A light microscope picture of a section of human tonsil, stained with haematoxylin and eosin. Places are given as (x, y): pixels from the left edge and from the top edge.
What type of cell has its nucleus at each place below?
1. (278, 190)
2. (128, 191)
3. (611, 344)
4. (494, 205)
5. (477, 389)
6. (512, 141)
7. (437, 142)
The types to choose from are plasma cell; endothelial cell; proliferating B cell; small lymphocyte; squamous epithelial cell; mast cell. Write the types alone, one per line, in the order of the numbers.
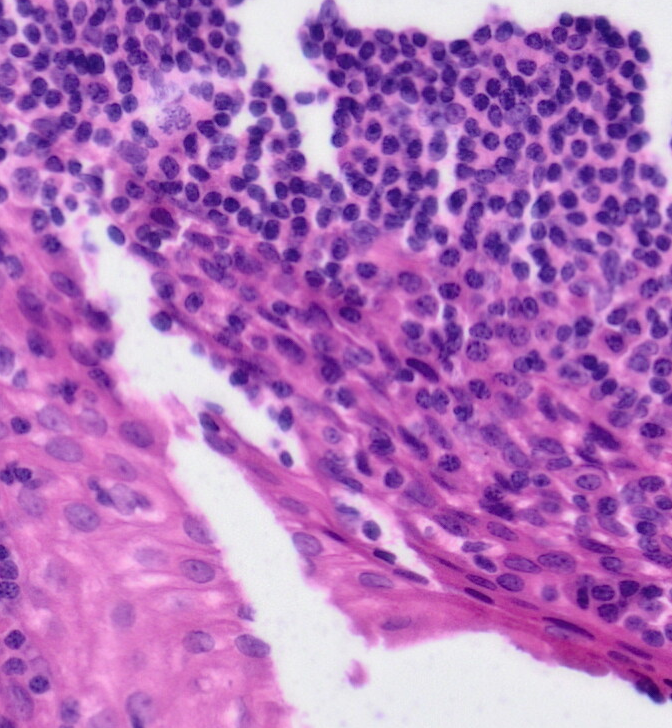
small lymphocyte
plasma cell
plasma cell
small lymphocyte
plasma cell
small lymphocyte
small lymphocyte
